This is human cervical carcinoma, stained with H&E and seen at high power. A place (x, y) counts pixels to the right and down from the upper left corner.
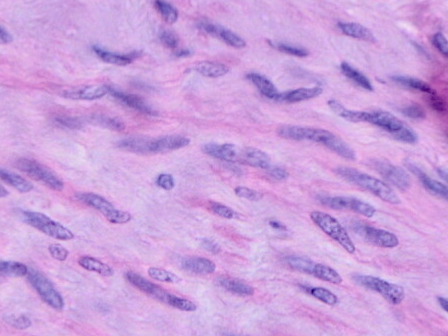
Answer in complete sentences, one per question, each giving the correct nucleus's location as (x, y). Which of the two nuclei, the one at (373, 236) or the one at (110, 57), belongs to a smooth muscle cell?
Which one belongs to a smooth muscle cell? The nucleus at (373, 236) does.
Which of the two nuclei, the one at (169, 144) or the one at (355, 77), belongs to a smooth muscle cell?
The one nucleus of the two that belongs to a smooth muscle cell is at (169, 144).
